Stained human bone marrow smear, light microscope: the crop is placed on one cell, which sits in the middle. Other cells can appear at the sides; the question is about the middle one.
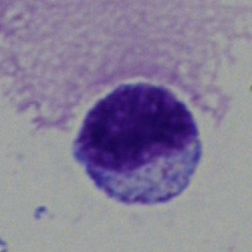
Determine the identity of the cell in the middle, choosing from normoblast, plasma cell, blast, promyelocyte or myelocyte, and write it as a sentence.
The cell in the middle of this crop is a myelocyte.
